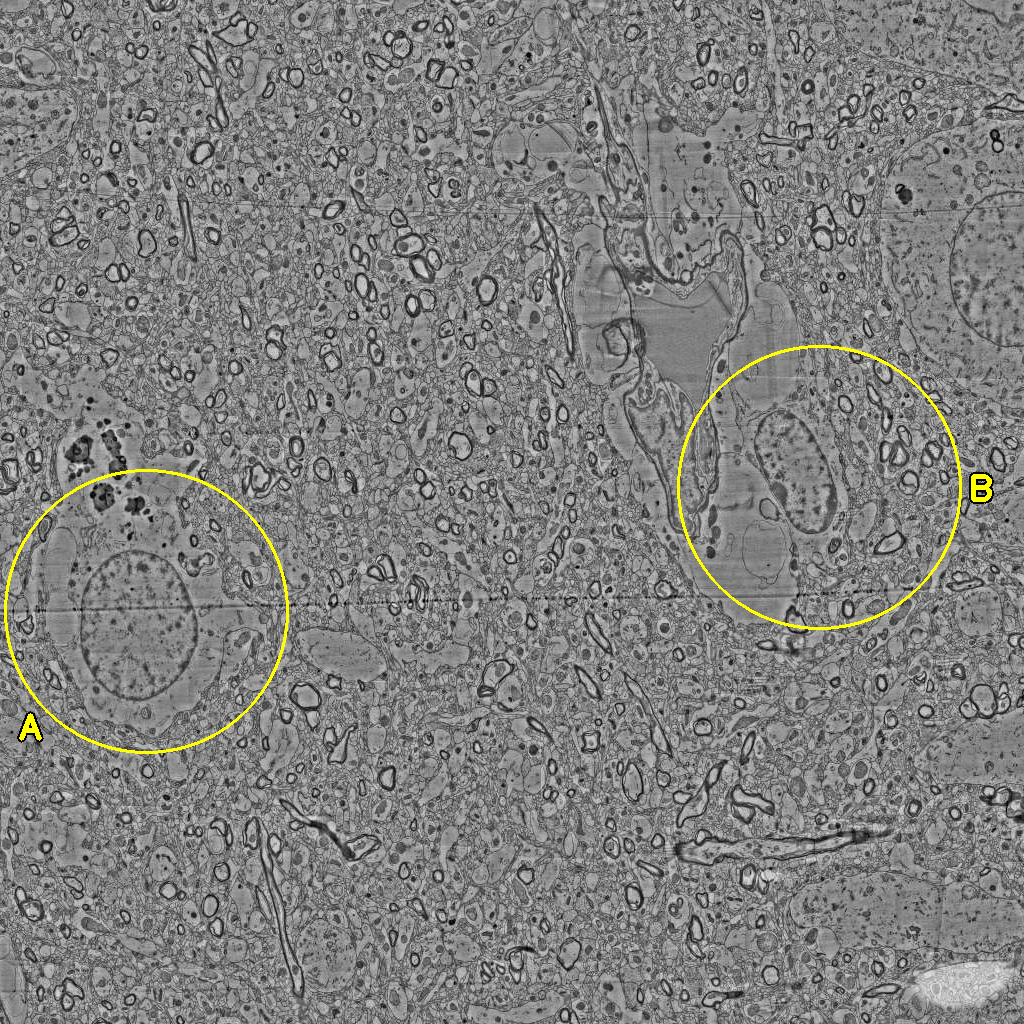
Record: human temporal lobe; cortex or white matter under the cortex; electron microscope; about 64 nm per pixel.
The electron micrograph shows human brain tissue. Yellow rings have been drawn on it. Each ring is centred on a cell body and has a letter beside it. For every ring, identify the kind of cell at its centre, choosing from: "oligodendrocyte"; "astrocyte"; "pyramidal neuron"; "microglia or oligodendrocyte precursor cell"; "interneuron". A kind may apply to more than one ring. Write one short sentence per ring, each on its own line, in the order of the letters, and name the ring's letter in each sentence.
Ring A is centred on an astrocyte.
Ring B is centred on a microglial cell or oligodendrocyte precursor cell.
